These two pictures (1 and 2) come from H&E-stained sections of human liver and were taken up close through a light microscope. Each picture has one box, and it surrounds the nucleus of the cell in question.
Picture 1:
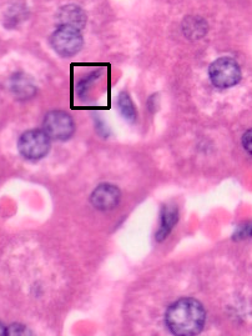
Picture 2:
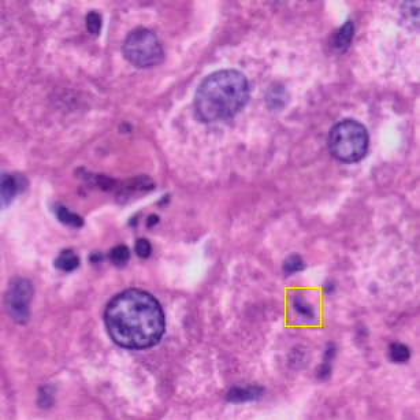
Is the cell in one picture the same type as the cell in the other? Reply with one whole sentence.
No, they differ: the cell is a “fibroblast or stellate cell” in picture 1 and an endothelial cell in picture 2.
